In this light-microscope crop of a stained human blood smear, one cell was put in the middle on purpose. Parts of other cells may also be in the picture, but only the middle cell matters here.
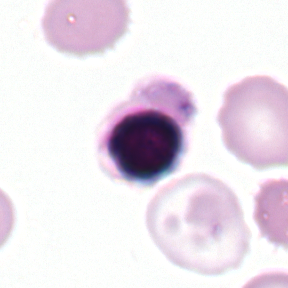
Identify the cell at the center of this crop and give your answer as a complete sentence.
At the center of the crop sits a normoblast.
